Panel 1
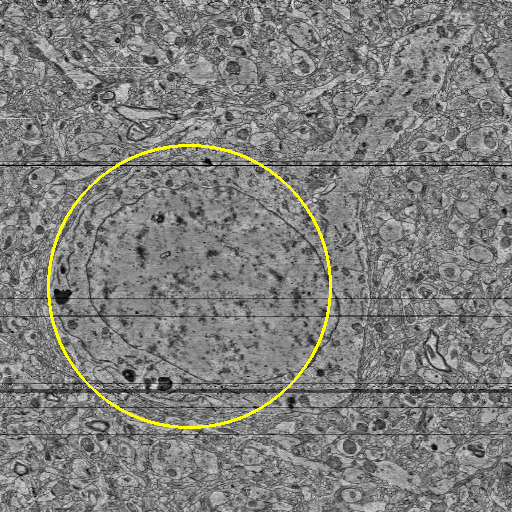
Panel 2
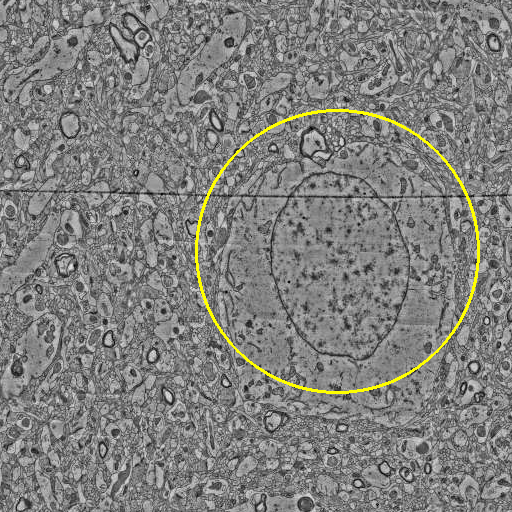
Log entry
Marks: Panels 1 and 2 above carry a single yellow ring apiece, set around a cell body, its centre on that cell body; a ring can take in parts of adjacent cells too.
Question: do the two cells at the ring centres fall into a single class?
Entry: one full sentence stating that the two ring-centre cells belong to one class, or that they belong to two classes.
The two ring-centre cells in Panels 1 and 2 belong to one class.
